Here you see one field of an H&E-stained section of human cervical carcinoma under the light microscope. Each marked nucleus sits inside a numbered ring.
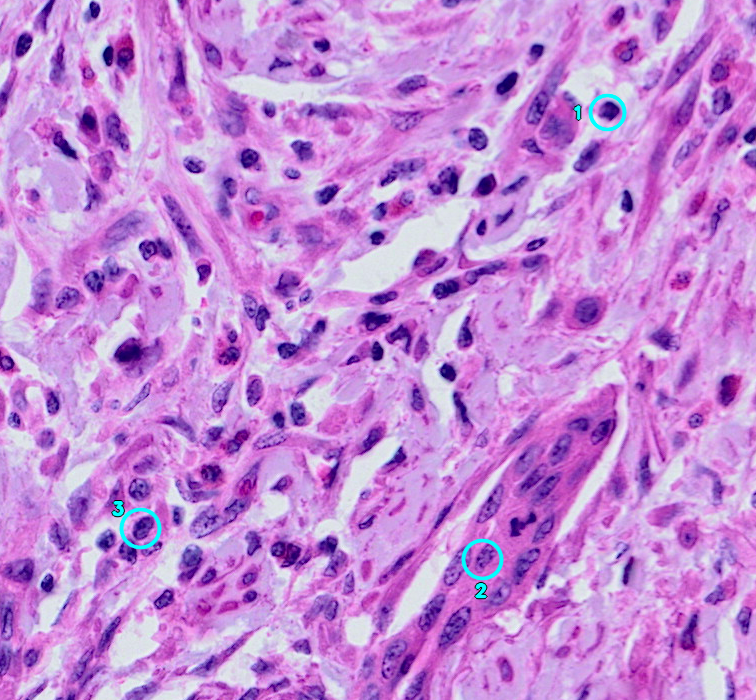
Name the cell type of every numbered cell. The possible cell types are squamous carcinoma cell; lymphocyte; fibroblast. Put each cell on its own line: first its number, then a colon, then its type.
1: lymphocyte
2: squamous carcinoma cell
3: lymphocyte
